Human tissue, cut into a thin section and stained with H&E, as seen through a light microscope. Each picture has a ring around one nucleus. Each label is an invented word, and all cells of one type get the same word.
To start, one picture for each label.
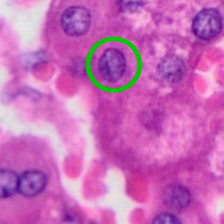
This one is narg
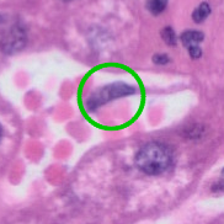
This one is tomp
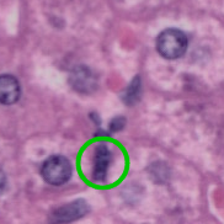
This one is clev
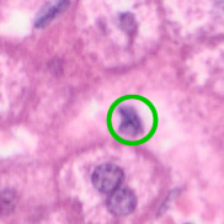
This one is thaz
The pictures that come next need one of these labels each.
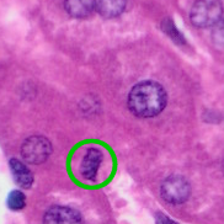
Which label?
clev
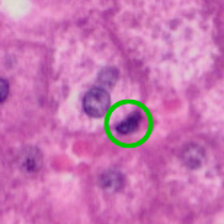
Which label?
clev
